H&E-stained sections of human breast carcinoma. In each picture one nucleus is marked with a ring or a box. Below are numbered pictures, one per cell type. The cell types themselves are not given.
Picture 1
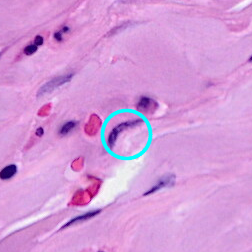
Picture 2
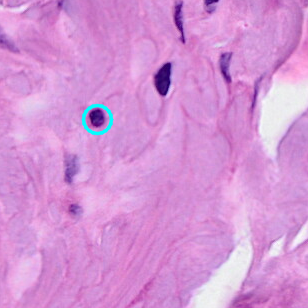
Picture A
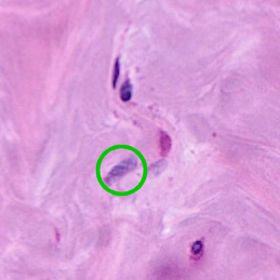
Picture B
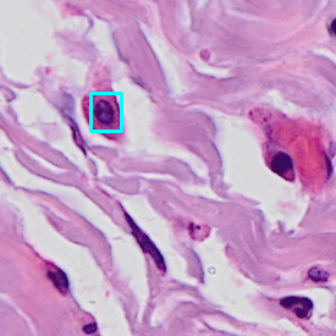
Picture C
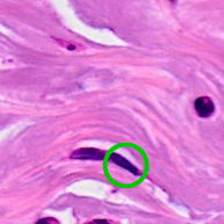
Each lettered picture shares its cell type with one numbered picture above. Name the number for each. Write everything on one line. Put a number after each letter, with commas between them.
A 1, B 2, C 1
